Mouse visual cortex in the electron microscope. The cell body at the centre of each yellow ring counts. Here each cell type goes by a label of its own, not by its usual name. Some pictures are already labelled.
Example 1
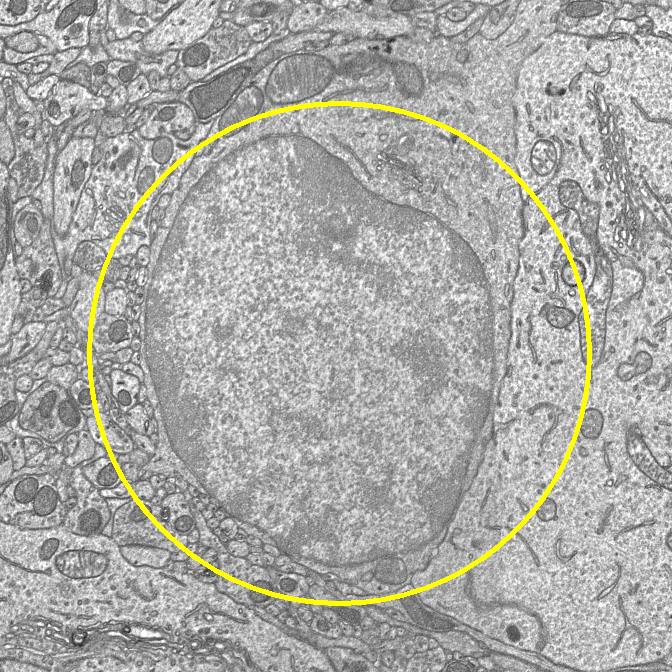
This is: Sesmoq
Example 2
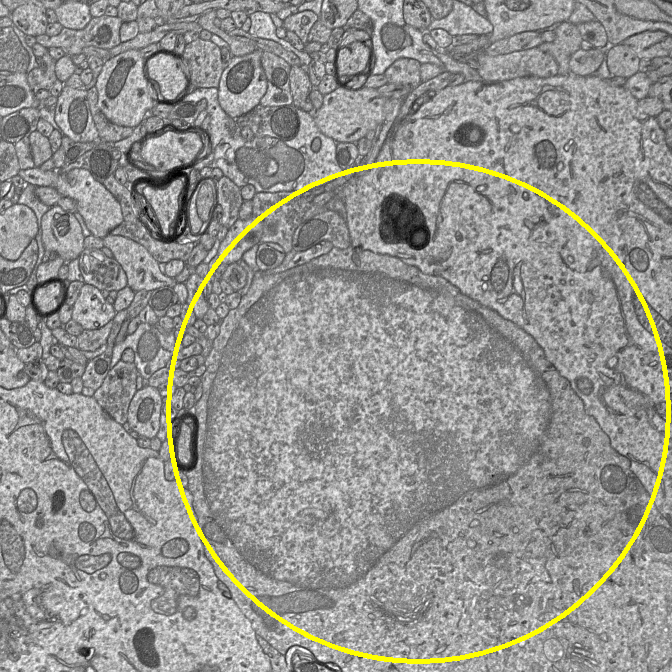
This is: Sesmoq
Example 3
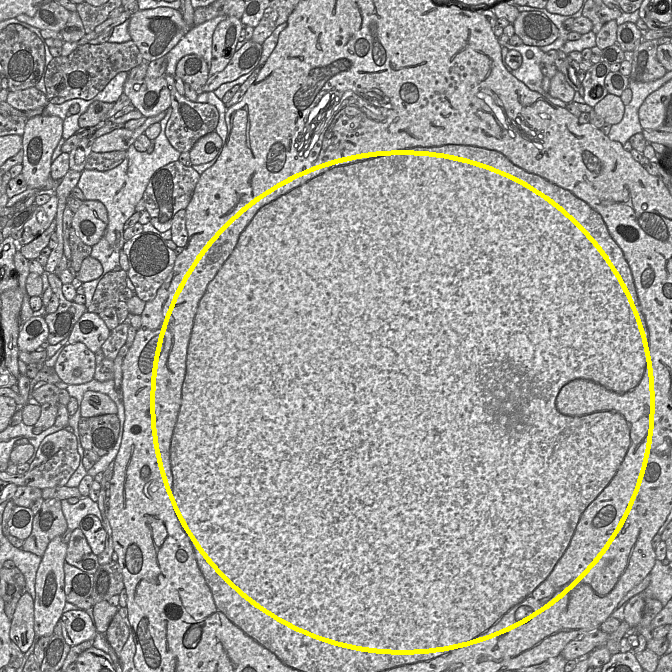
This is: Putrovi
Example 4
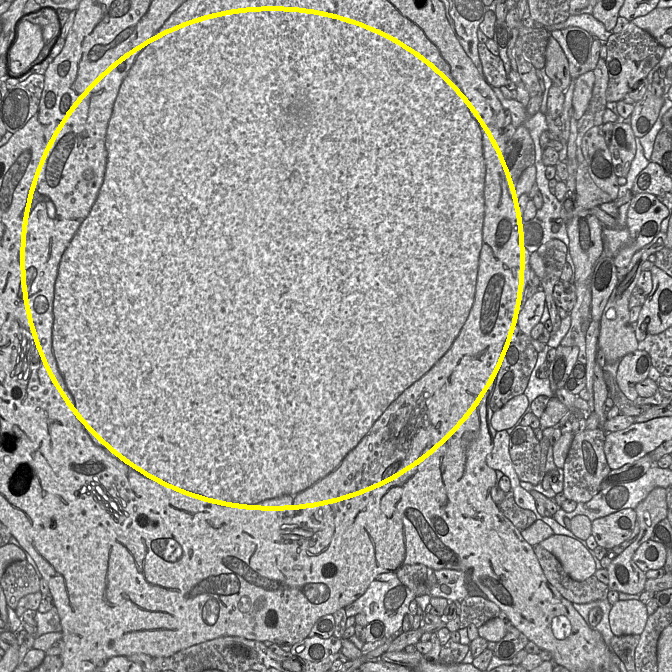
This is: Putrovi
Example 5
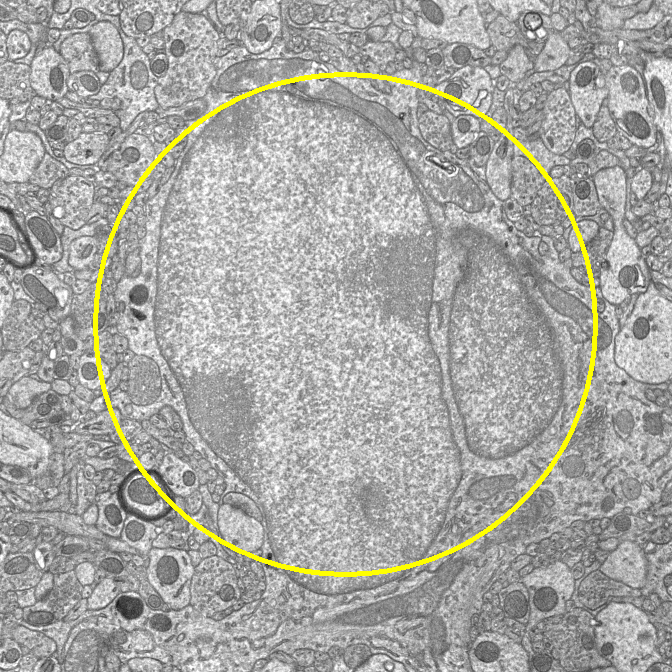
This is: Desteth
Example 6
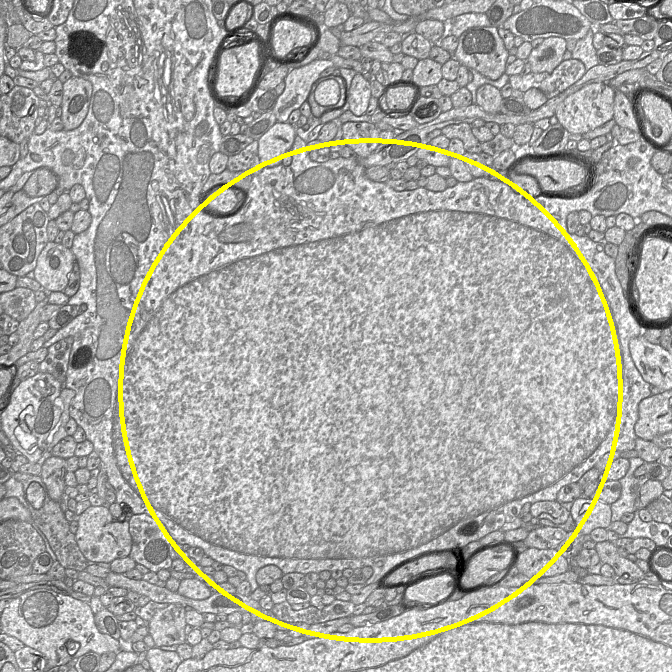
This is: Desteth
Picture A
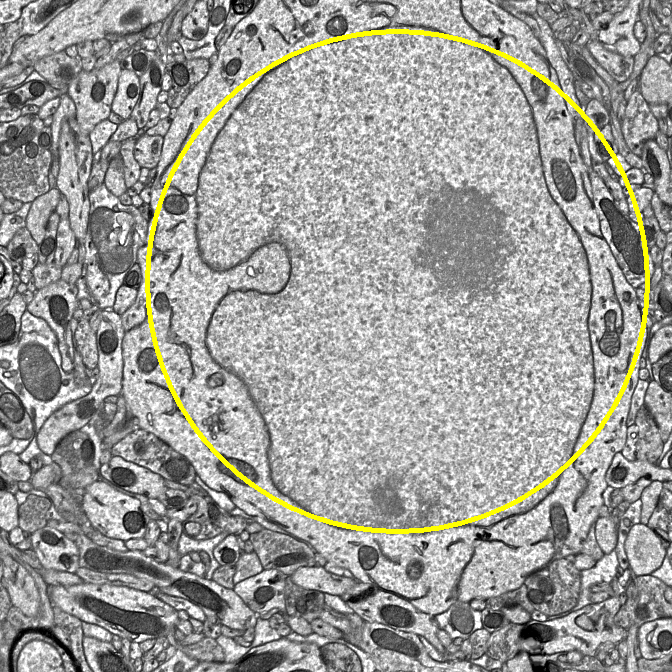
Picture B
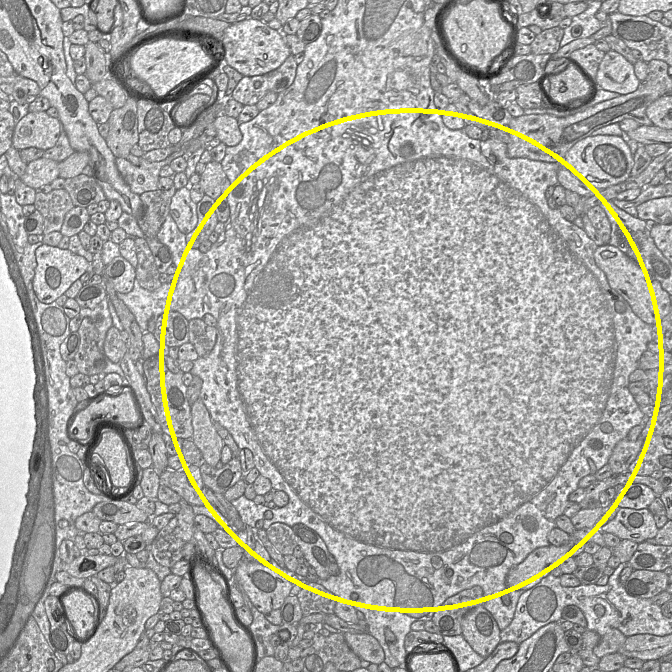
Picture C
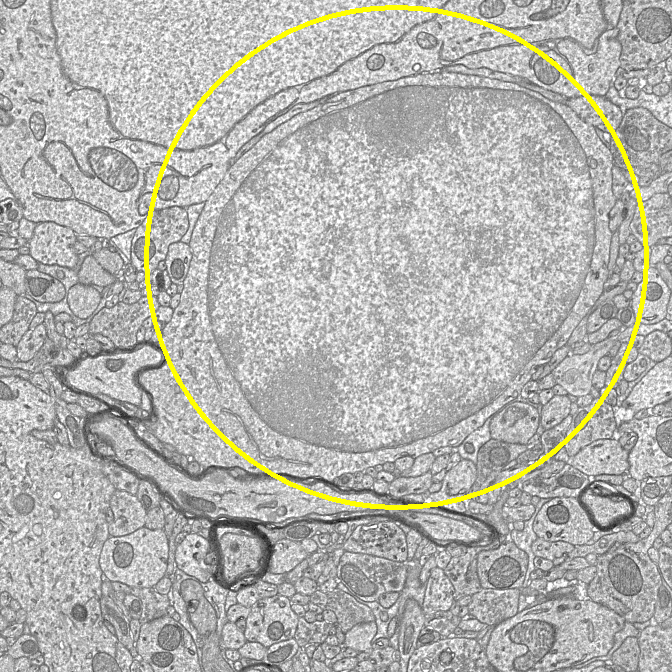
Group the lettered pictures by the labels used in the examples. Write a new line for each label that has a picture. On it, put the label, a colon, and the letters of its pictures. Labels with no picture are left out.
Sesmoq: C
Putrovi: A
Desteth: B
